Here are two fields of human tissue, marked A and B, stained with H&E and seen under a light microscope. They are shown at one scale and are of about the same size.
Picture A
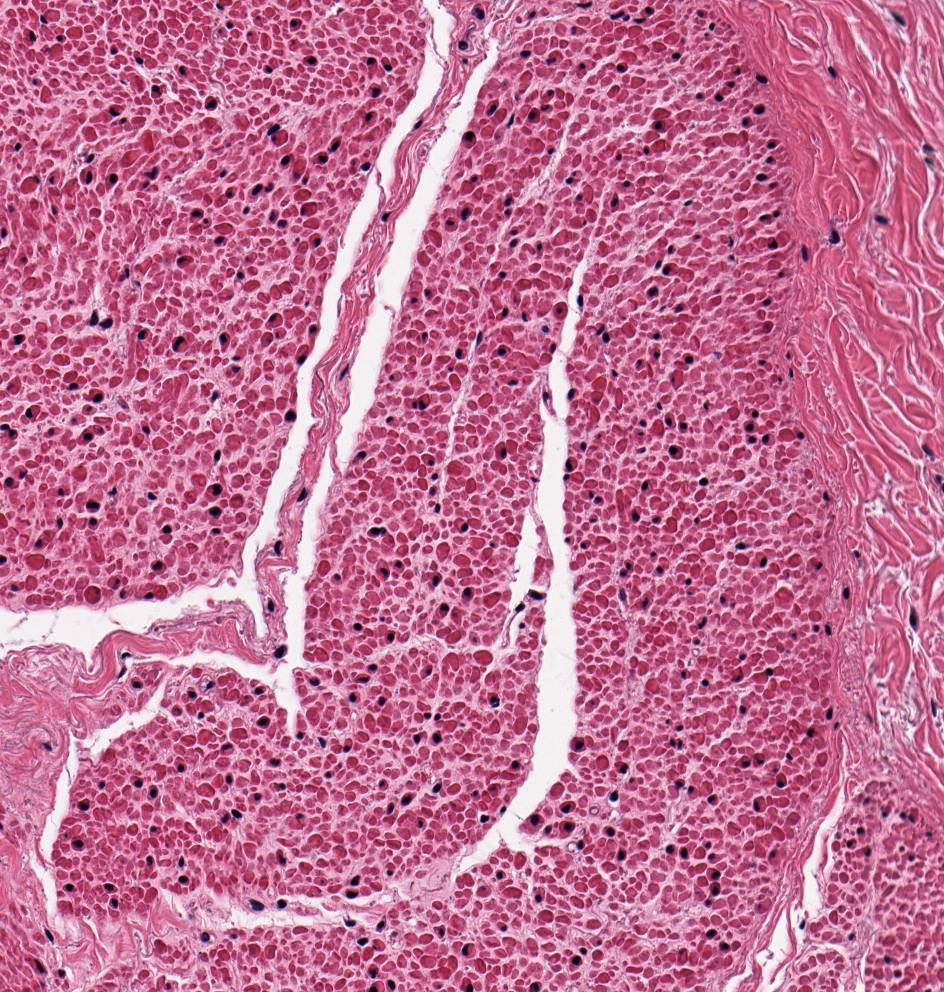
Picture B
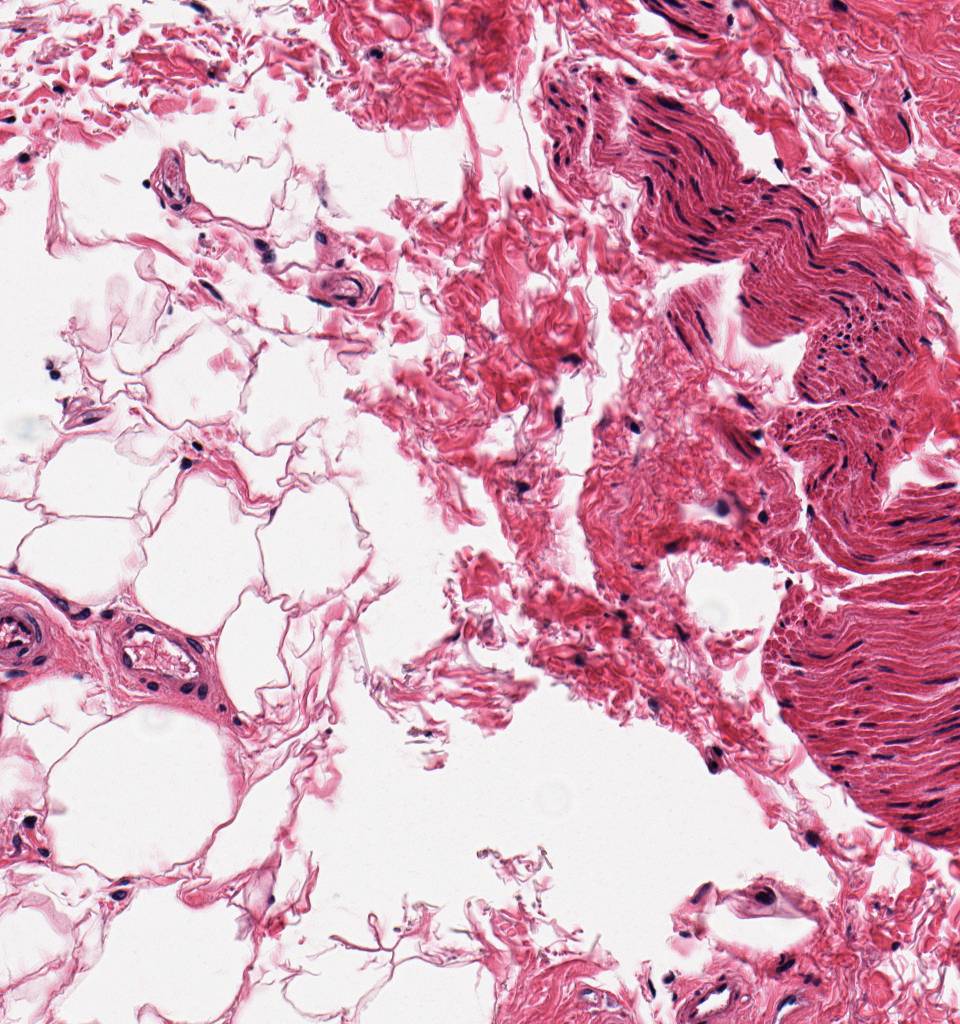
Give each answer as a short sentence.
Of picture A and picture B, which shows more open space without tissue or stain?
More of picture B is empty and white.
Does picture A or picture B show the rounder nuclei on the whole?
Rounder nuclei lie in picture A.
